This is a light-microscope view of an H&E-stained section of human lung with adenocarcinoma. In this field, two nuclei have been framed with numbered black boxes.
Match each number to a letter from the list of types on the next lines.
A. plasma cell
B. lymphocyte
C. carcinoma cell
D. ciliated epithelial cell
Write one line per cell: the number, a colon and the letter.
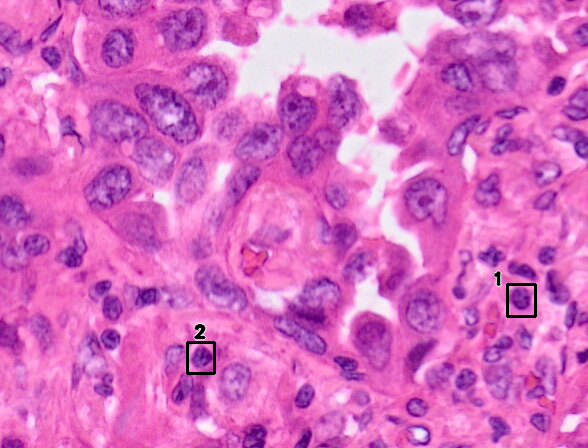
1: A
2: B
